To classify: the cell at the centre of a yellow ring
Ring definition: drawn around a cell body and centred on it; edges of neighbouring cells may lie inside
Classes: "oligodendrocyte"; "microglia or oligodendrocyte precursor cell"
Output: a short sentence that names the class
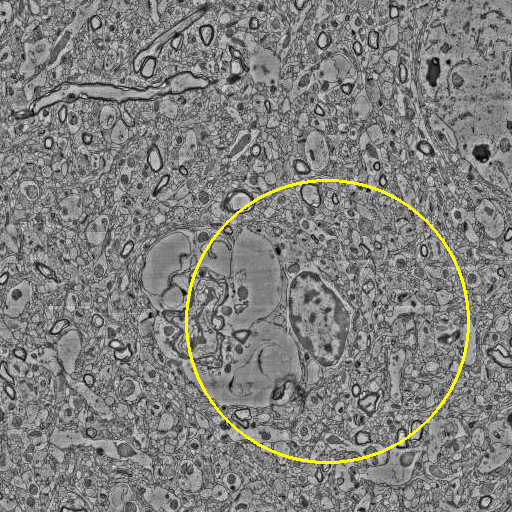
The ringed cell is a microglial cell or oligodendrocyte precursor cell.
